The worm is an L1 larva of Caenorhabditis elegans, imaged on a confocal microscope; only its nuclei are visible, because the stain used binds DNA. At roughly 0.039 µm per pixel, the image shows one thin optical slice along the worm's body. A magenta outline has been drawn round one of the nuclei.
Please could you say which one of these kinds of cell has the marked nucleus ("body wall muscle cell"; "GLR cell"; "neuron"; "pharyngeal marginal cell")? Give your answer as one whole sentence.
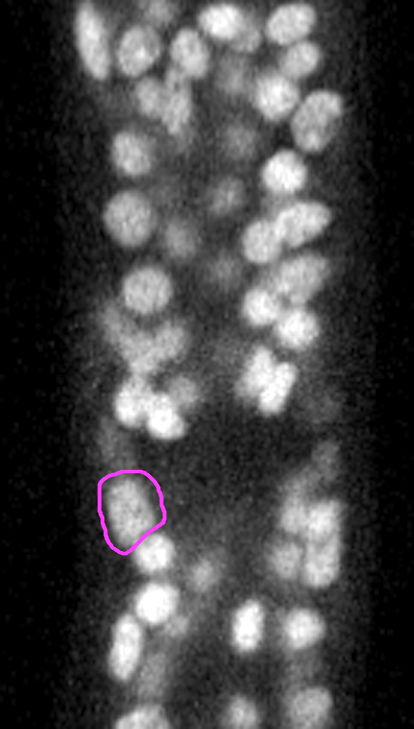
The marked cell is a body wall muscle cell.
